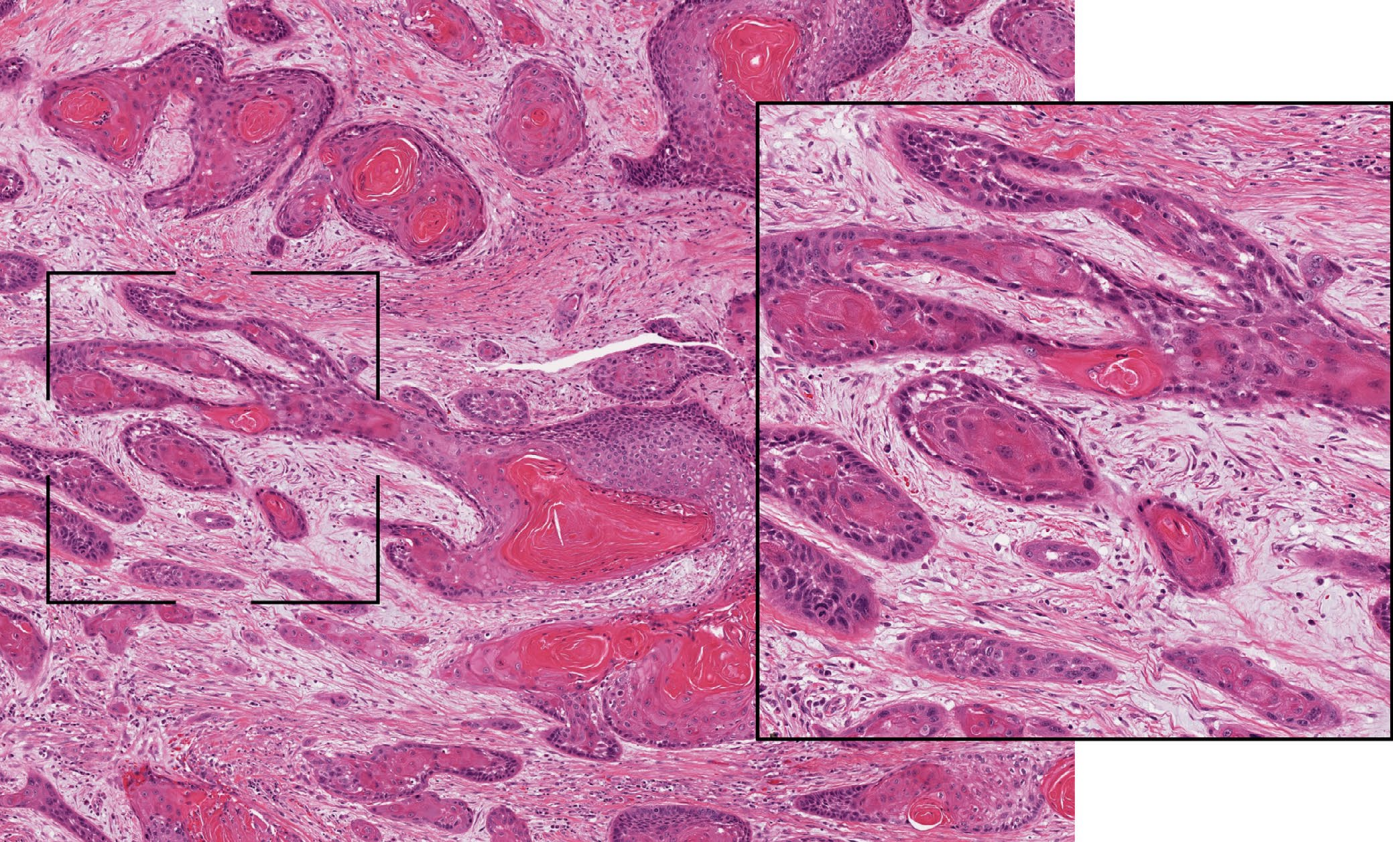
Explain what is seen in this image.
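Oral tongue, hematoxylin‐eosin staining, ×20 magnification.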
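This is an invasive squamous cell carcinoma, with irregular nests, cords and elongated islands of malignant squamous cells scattered through a pale pink fibrous stroma. The tumor cells are polygonal, with abundant pink cytoplasm and enlarged, hyperchromatic nuclei. Darker, basal-like cells line the edges of the nests, and many nests have central whorled, bright pink keratin. The stroma consists of loose collagen with spindle-shaped cells, and small round lymphocytes are very scarce both in the tumor nests and in the surrounding stroma.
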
